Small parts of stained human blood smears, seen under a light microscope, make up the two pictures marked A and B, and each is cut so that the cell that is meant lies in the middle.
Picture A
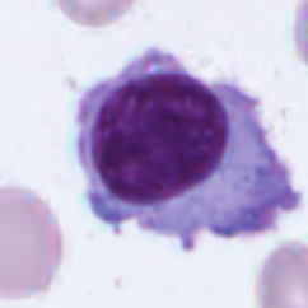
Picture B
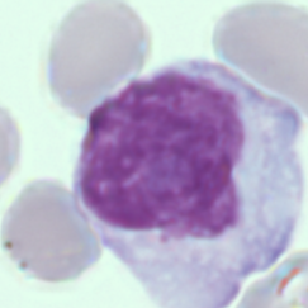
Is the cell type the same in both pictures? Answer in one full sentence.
Yes, the two pictures both show plasma cells.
